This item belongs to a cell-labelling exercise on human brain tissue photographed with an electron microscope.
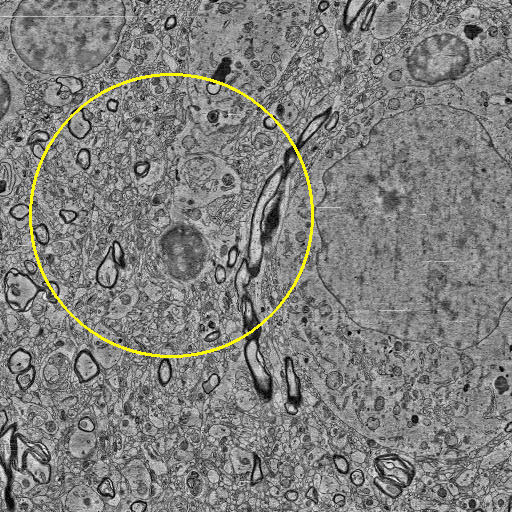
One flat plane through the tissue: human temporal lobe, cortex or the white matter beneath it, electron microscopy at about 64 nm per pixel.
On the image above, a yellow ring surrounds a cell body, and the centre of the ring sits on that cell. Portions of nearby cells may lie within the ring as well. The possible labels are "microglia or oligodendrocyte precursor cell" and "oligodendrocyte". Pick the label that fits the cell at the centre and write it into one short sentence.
This cell should be labelled as an oligodendrocyte.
